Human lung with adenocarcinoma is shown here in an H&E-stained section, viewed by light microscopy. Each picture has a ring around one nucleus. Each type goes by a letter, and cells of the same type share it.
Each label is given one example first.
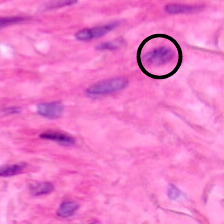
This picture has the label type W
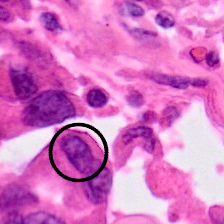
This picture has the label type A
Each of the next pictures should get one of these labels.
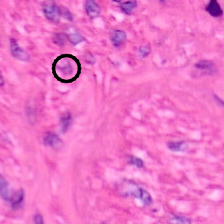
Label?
type W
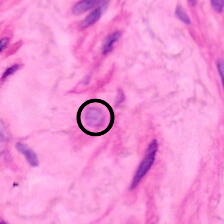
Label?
type W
